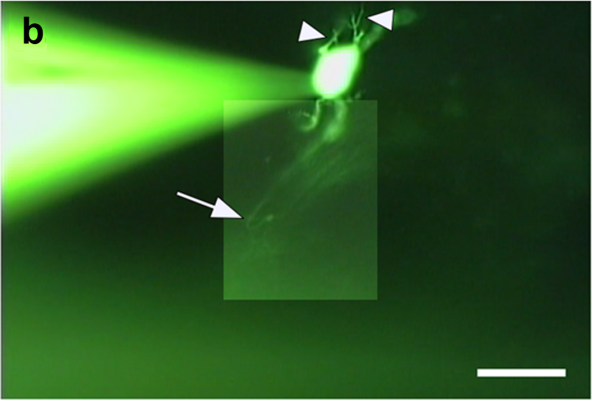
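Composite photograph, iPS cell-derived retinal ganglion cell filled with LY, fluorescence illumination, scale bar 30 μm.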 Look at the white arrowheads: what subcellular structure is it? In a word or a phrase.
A: Dendritic processes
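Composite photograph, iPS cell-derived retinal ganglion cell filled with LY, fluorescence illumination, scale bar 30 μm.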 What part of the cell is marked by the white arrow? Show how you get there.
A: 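A long, very thin faint process runs downward away from the cell body. The arrow points at this slender process within the lighter rectangle.
Axonal process.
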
